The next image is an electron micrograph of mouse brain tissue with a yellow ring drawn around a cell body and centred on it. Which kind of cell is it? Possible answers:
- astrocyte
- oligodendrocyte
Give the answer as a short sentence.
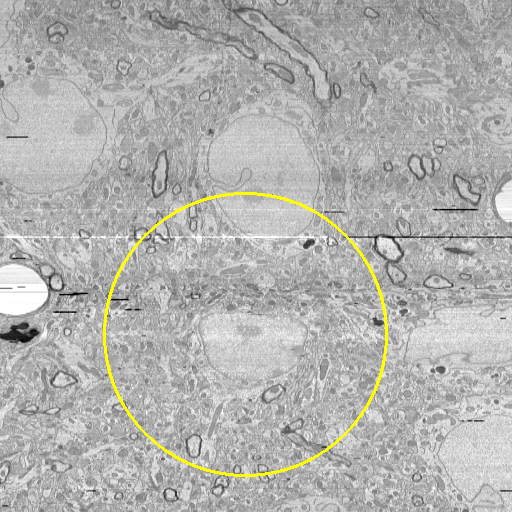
In the ring's centre is an astrocyte.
